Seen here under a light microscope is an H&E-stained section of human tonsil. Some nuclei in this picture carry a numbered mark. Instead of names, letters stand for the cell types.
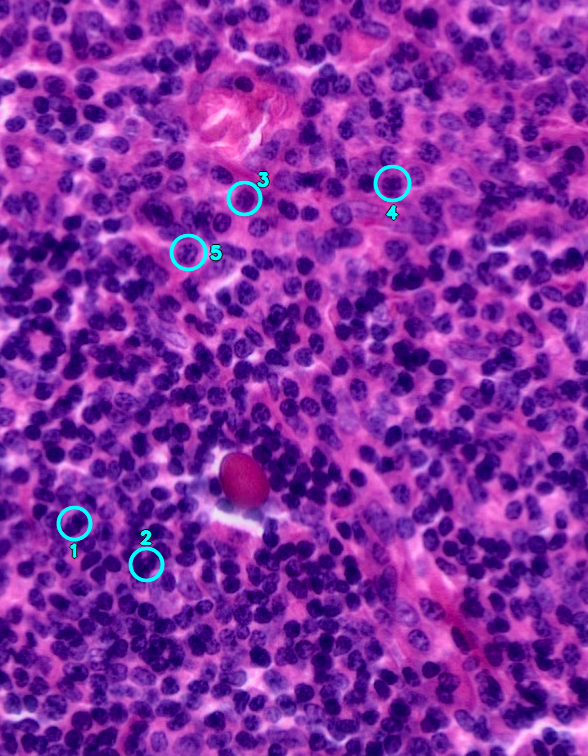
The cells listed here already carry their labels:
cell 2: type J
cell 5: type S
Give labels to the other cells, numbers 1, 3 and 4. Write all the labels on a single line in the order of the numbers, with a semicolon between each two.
type J; type S; type S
